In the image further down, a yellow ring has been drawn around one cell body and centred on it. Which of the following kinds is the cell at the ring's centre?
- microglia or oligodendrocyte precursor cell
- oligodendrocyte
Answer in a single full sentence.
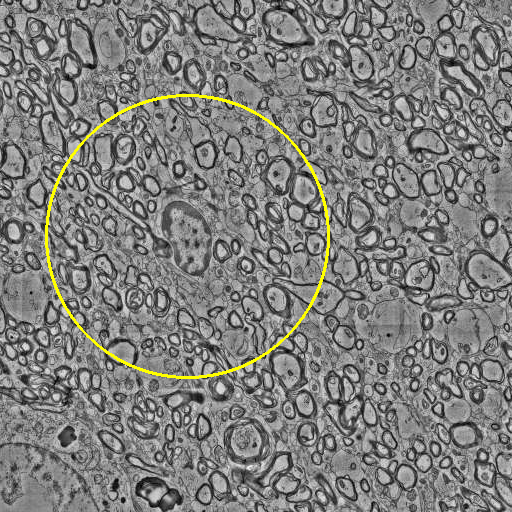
In the picture, the cell sitting at the centre of the yellow ring is a microglial cell or oligodendrocyte precursor cell.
